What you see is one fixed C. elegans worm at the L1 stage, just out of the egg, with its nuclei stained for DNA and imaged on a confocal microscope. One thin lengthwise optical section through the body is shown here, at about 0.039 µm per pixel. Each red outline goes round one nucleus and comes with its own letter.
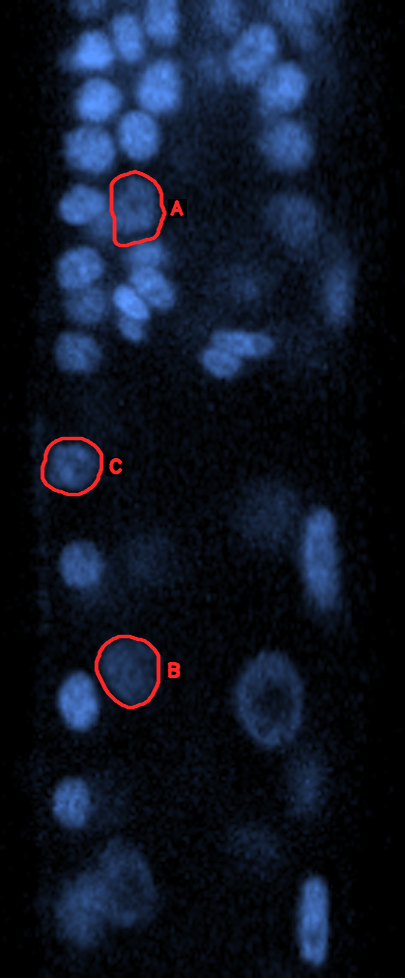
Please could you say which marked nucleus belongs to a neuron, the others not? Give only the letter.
C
